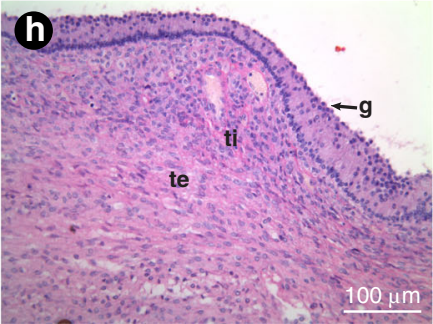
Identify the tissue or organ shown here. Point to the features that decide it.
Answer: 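A stratified layer of small dark-nucleated cells forms the free edge. A dark basal row of nuclei borders the underlying layer. Underneath lies a pink fibrous stroma with spindle cells and small vessels.
Answer: follicle wall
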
